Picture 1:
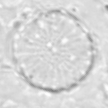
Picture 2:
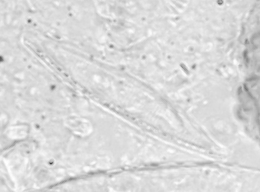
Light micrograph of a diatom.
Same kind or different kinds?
Different: the first is Stephanodiscus, the second Nitzschia.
